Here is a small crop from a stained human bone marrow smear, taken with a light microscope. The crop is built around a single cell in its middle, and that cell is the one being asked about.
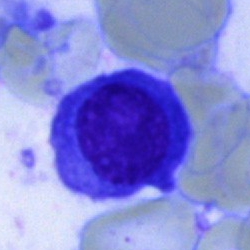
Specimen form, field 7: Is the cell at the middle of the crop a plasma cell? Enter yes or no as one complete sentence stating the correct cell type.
Yes, the central element of the crop is a plasma cell.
